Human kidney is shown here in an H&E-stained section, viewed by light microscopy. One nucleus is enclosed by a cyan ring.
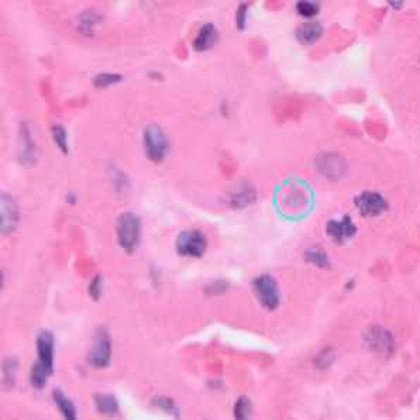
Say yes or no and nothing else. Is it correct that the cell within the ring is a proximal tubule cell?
no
